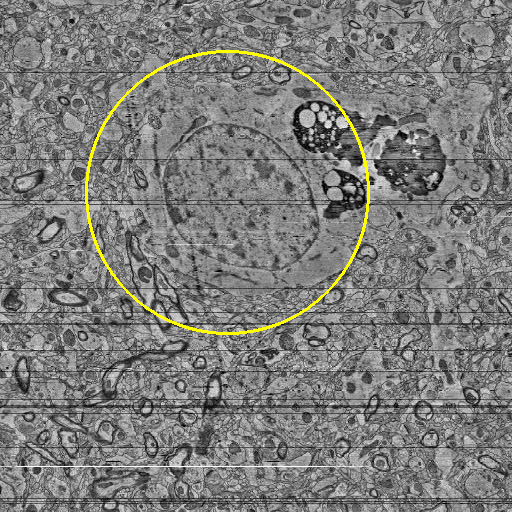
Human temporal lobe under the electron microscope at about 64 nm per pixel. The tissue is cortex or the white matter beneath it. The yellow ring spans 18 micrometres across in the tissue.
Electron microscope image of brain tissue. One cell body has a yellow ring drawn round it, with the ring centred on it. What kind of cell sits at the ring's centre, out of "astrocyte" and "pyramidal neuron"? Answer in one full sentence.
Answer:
It is an astrocyte whose cell body sits at the centre of the yellow ring.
